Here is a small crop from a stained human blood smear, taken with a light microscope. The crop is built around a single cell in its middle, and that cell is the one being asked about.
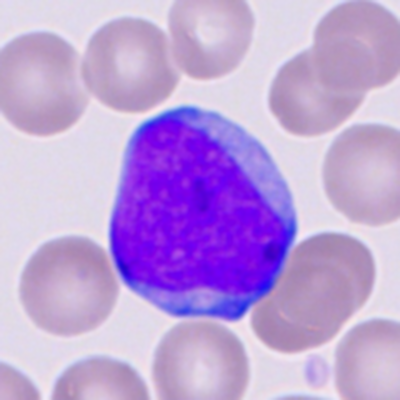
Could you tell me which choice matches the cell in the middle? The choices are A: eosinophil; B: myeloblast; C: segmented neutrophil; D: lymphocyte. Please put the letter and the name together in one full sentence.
The centered cell is a myeloblast, which is why option B is right.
